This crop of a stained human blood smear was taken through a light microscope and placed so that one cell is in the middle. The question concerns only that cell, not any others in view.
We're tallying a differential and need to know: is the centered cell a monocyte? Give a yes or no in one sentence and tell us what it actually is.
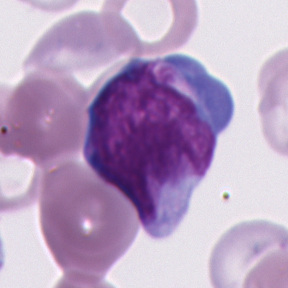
No, the cell in the middle is correctly named a myeloblast, not a monocyte.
